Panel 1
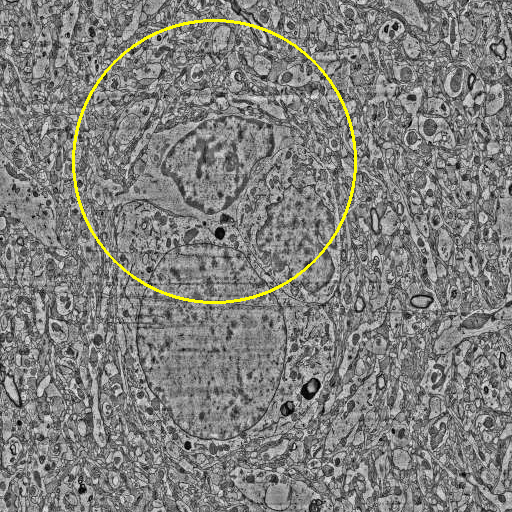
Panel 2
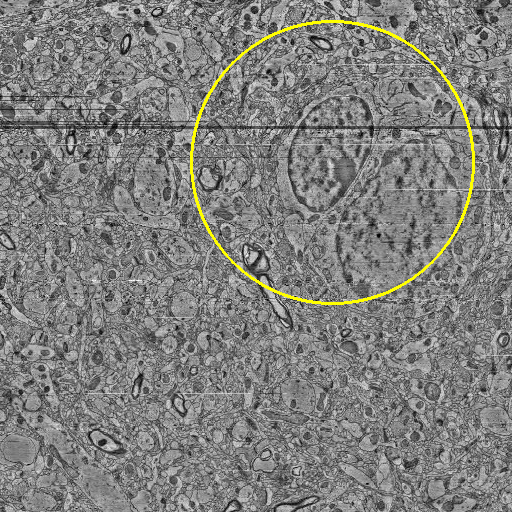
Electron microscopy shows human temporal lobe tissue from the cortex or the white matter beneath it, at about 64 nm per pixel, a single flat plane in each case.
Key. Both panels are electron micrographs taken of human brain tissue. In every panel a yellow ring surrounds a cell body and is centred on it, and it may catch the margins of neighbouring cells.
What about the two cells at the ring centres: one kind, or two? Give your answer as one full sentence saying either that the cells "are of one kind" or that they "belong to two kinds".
Across Panels 1 and 2, the two cells at the ring centres are of one kind.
